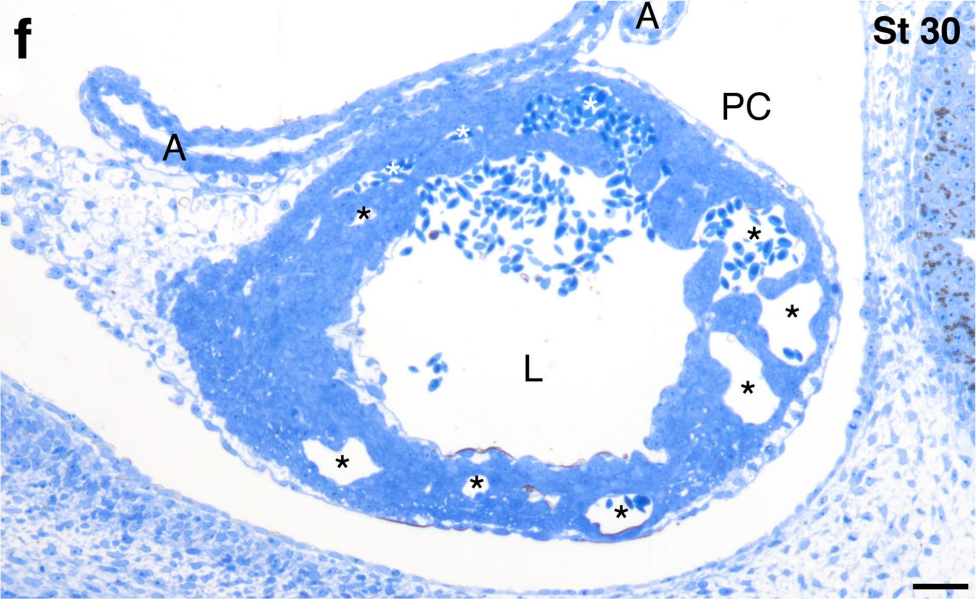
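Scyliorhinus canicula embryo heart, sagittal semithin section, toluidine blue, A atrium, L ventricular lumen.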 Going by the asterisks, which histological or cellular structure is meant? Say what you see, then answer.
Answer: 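Many clear, well bounded spaces marked by asterisks lie between strands of the thick muscular wall. Some spaces contain small oval dark cells and open toward the central lumen. The answer: intertrabecular spaces.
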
